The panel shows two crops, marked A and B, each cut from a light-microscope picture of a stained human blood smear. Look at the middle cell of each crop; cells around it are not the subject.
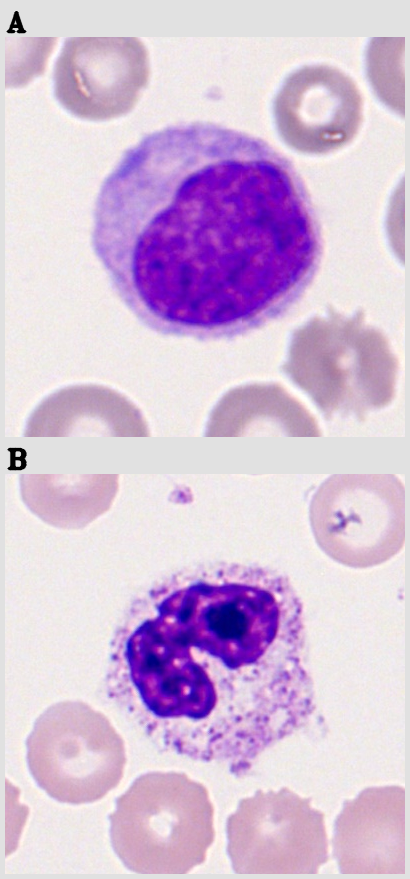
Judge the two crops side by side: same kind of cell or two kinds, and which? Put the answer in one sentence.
No, the cells are a monocyte in crop A and a neutrophil in crop B.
